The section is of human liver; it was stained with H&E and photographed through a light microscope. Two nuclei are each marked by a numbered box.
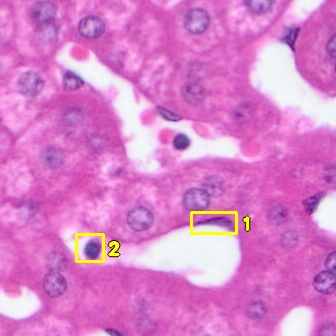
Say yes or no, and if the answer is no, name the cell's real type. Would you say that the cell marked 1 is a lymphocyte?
No, it is a fibroblast or stellate cell.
